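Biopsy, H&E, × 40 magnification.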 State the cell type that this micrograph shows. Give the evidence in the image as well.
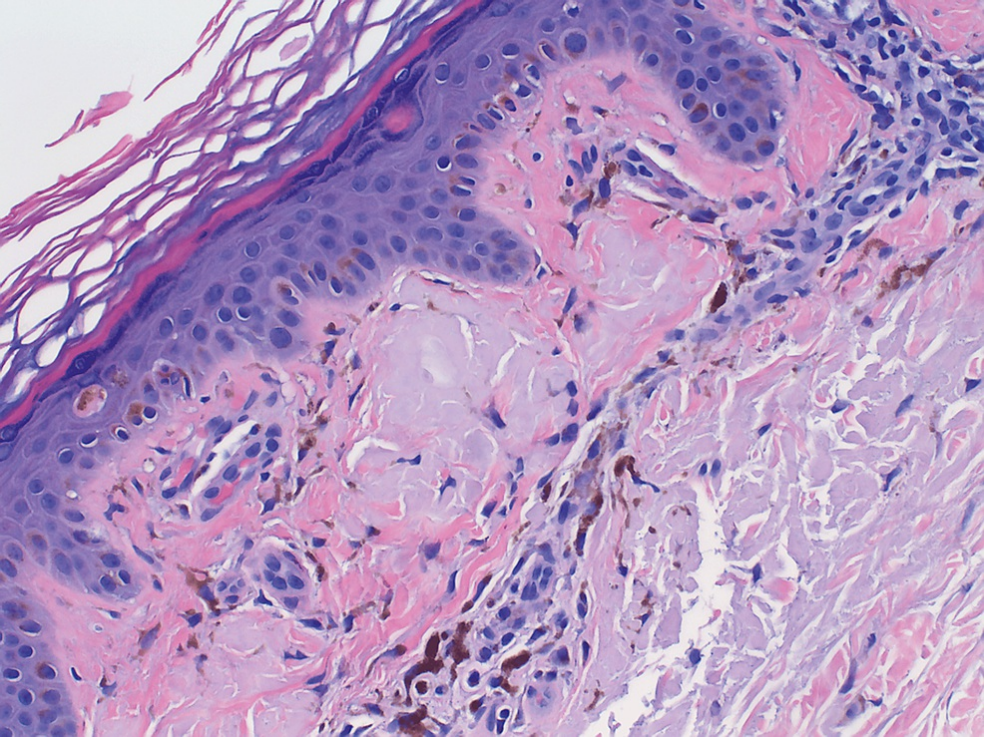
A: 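Cells in the upper dermis carry coarse brown granular pigment in their cytoplasm. The pigmented cells lie around and between the pale pink masses below the epidermis. So: melanophages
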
